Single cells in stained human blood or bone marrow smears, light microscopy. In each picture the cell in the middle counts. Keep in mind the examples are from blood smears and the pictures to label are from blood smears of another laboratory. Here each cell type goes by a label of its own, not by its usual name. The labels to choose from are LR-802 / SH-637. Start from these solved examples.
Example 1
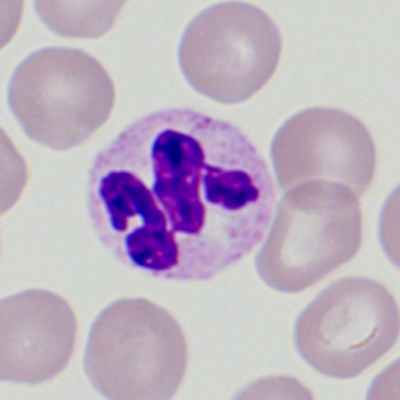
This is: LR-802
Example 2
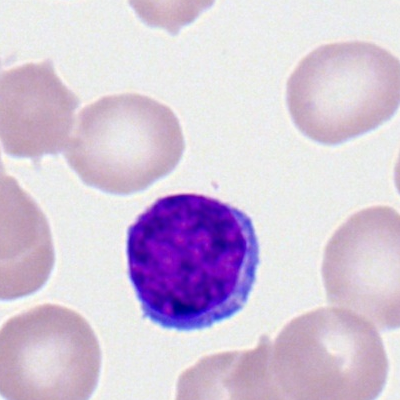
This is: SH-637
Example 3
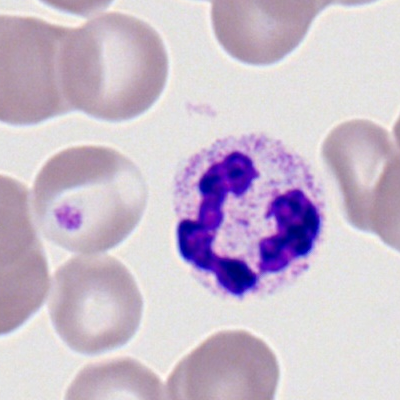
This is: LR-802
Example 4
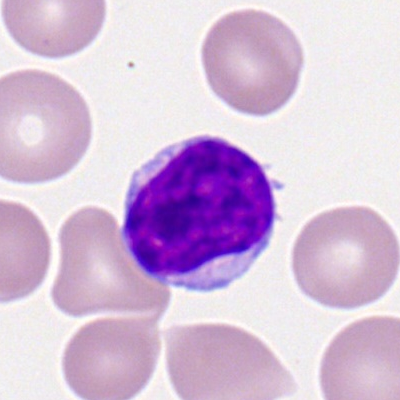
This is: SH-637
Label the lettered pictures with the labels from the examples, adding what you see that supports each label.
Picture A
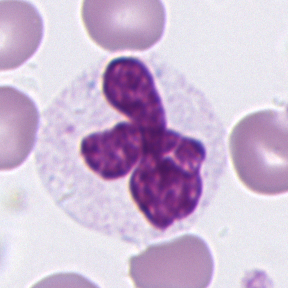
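LR-802. The nucleus is divided into several lobes that are joined together.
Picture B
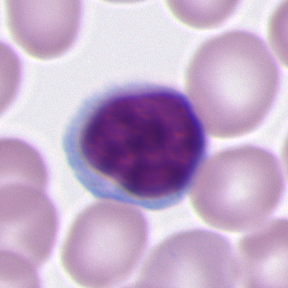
SH-637. The nucleus fills most of the cell and sits toward its upper right.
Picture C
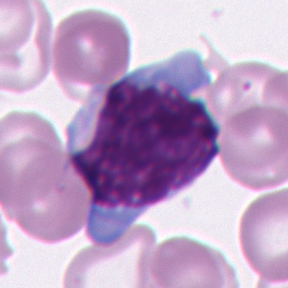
SH-637. The cytoplasm is scant compared with the nucleus.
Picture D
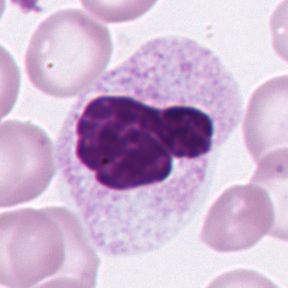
LR-802. The cytoplasm is abundant, covering more area than the nucleus.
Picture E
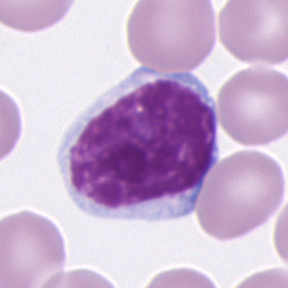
SH-637. The cytoplasm forms only a narrow rim around the nucleus.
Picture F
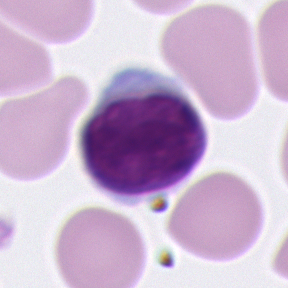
SH-637. The cytoplasm is a scant pale blue rim that is widest at the top of the cell.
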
